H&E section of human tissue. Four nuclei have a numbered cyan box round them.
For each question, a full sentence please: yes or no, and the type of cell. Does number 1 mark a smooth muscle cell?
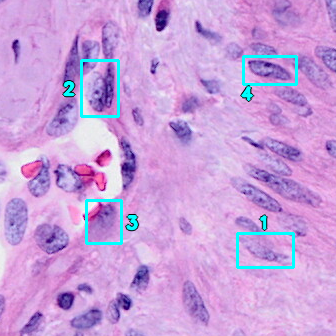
Yes, regarding cell number 1, it is a smooth muscle cell.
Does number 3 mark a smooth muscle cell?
No, as for cell 3, it is an endothelial cell and not a smooth muscle cell.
